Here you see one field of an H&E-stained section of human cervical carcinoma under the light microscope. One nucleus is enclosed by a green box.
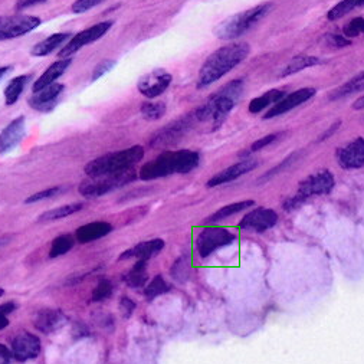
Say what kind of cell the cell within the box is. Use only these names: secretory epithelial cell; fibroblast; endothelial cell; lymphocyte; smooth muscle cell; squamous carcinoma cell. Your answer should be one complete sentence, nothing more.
Cell type answer for this item: the cell within the box is a secretory epithelial cell.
